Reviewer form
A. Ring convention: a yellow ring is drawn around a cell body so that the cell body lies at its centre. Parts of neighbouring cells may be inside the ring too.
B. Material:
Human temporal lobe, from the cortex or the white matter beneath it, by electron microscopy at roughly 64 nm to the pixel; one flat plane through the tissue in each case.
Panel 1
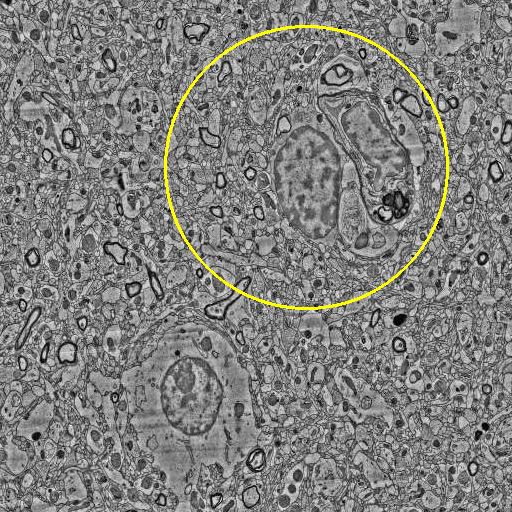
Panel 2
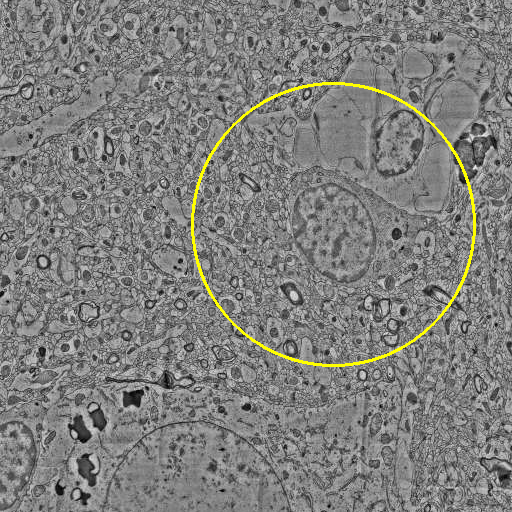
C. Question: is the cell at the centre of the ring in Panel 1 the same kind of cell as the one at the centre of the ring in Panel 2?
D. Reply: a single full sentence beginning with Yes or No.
Yes, the cells in Panel 1 and Panel 2 are the same kind of cell.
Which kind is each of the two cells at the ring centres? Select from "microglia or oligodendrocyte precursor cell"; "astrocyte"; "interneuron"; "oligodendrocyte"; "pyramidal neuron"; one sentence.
The second cell is an oligodendrocyte, just as the first is.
